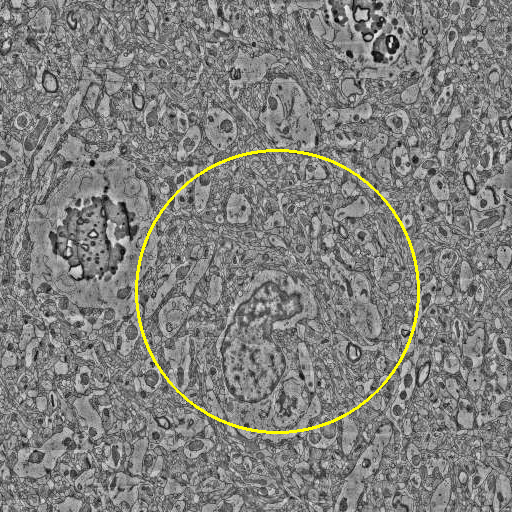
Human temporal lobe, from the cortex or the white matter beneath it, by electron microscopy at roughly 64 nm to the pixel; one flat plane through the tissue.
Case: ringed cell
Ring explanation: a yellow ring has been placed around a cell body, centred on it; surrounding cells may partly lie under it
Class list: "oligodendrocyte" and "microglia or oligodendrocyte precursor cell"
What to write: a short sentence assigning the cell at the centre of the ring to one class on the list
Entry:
The cell at the ring's centre is a microglial cell or oligodendrocyte precursor cell.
